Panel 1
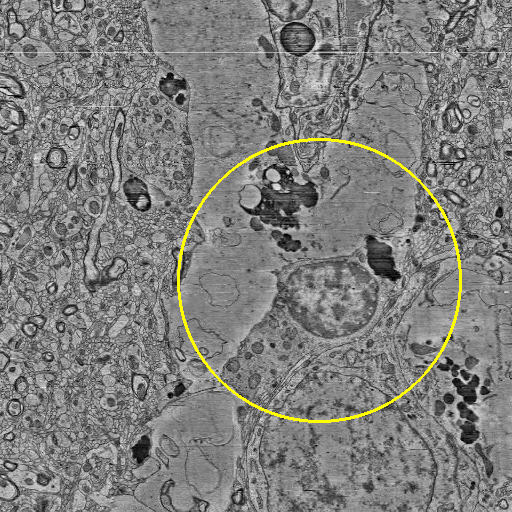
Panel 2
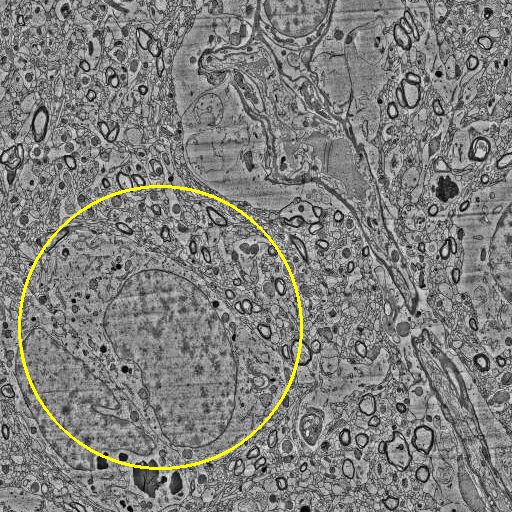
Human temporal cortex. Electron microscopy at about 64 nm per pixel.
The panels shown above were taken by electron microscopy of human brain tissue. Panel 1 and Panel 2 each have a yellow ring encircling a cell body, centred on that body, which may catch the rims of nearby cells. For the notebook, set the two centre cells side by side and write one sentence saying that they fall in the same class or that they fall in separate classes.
The centred cells of Panel 1 and Panel 2 fall in separate classes.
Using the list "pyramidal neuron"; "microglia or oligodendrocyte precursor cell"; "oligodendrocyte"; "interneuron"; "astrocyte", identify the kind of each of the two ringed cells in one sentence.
The first is an oligodendrocyte and the second is a pyramidal neuron.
